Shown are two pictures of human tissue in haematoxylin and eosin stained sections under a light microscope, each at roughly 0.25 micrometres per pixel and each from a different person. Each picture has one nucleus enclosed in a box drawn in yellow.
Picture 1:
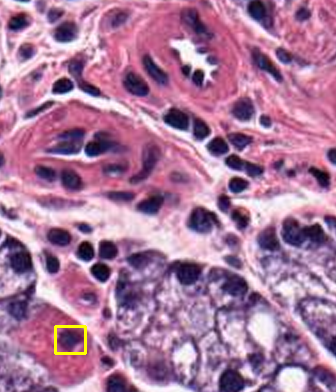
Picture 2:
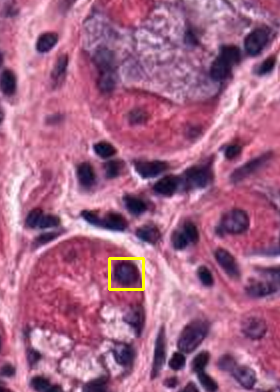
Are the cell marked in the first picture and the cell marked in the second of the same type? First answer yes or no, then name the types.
Yes, both are parietal cells.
